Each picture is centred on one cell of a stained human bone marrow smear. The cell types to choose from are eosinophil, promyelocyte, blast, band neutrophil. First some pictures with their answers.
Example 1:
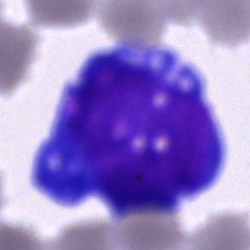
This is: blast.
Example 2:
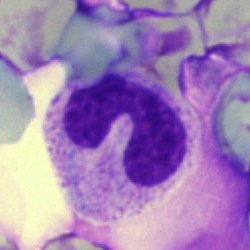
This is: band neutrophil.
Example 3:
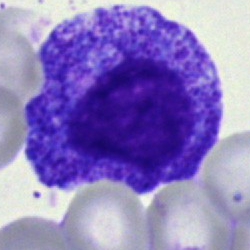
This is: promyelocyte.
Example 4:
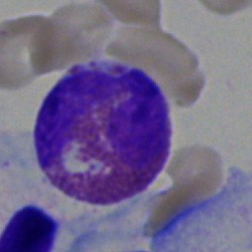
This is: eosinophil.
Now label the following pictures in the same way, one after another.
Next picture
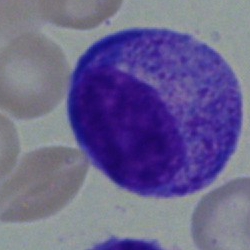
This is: promyelocyte.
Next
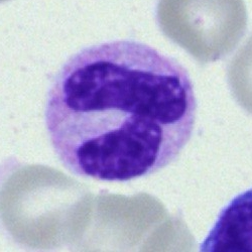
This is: band neutrophil.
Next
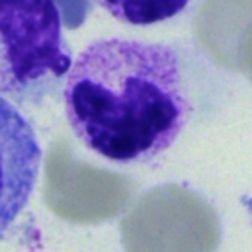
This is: band neutrophil.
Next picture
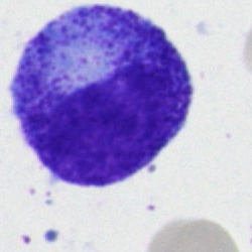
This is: promyelocyte.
